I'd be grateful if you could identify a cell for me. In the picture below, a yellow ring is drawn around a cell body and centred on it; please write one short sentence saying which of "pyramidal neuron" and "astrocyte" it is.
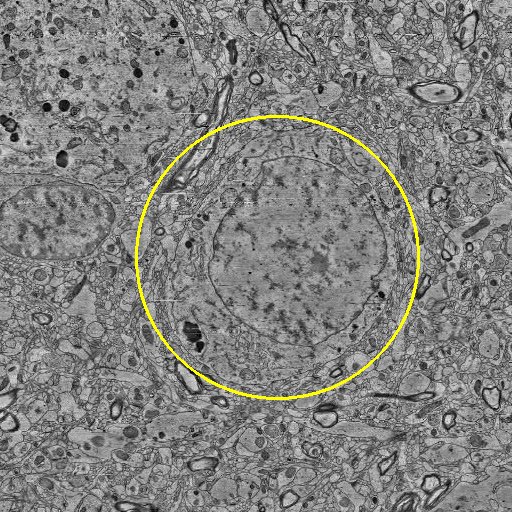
The cell under the ring's centre is a pyramidal neuron.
